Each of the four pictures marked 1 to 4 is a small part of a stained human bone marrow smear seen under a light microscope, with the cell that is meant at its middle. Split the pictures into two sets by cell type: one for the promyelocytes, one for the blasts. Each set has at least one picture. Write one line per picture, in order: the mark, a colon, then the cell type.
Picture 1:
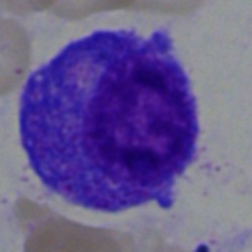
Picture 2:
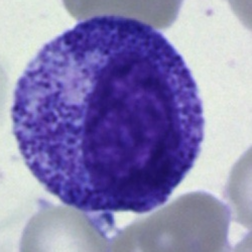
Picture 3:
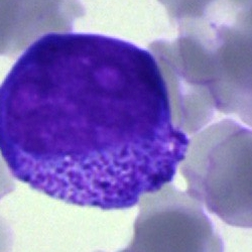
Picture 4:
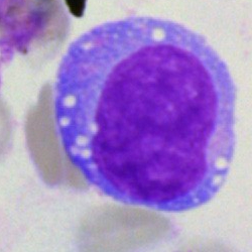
1: promyelocyte
2: promyelocyte
3: promyelocyte
4: blast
